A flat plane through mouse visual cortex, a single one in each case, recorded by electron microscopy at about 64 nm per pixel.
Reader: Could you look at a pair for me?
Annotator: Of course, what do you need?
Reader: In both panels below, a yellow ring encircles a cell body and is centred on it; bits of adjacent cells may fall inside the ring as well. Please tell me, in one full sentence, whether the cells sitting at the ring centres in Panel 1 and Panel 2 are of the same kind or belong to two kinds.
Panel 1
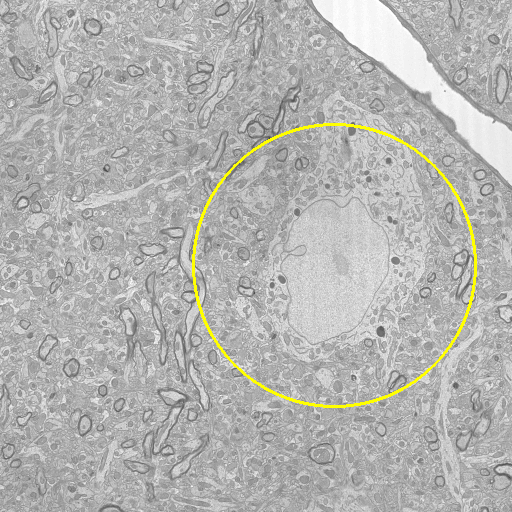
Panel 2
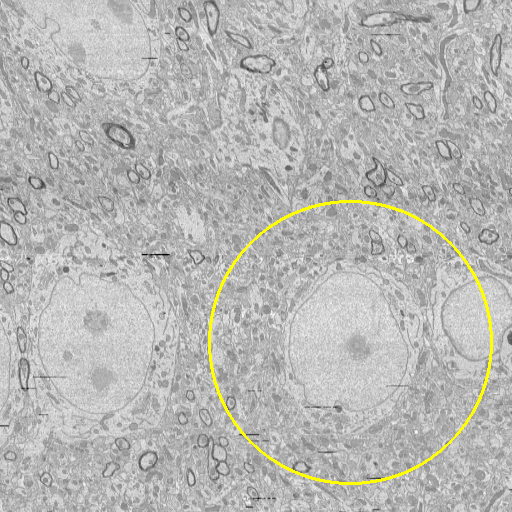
The cell at the ring's centre in Panel 1 and the one in Panel 2 belong to two kinds.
